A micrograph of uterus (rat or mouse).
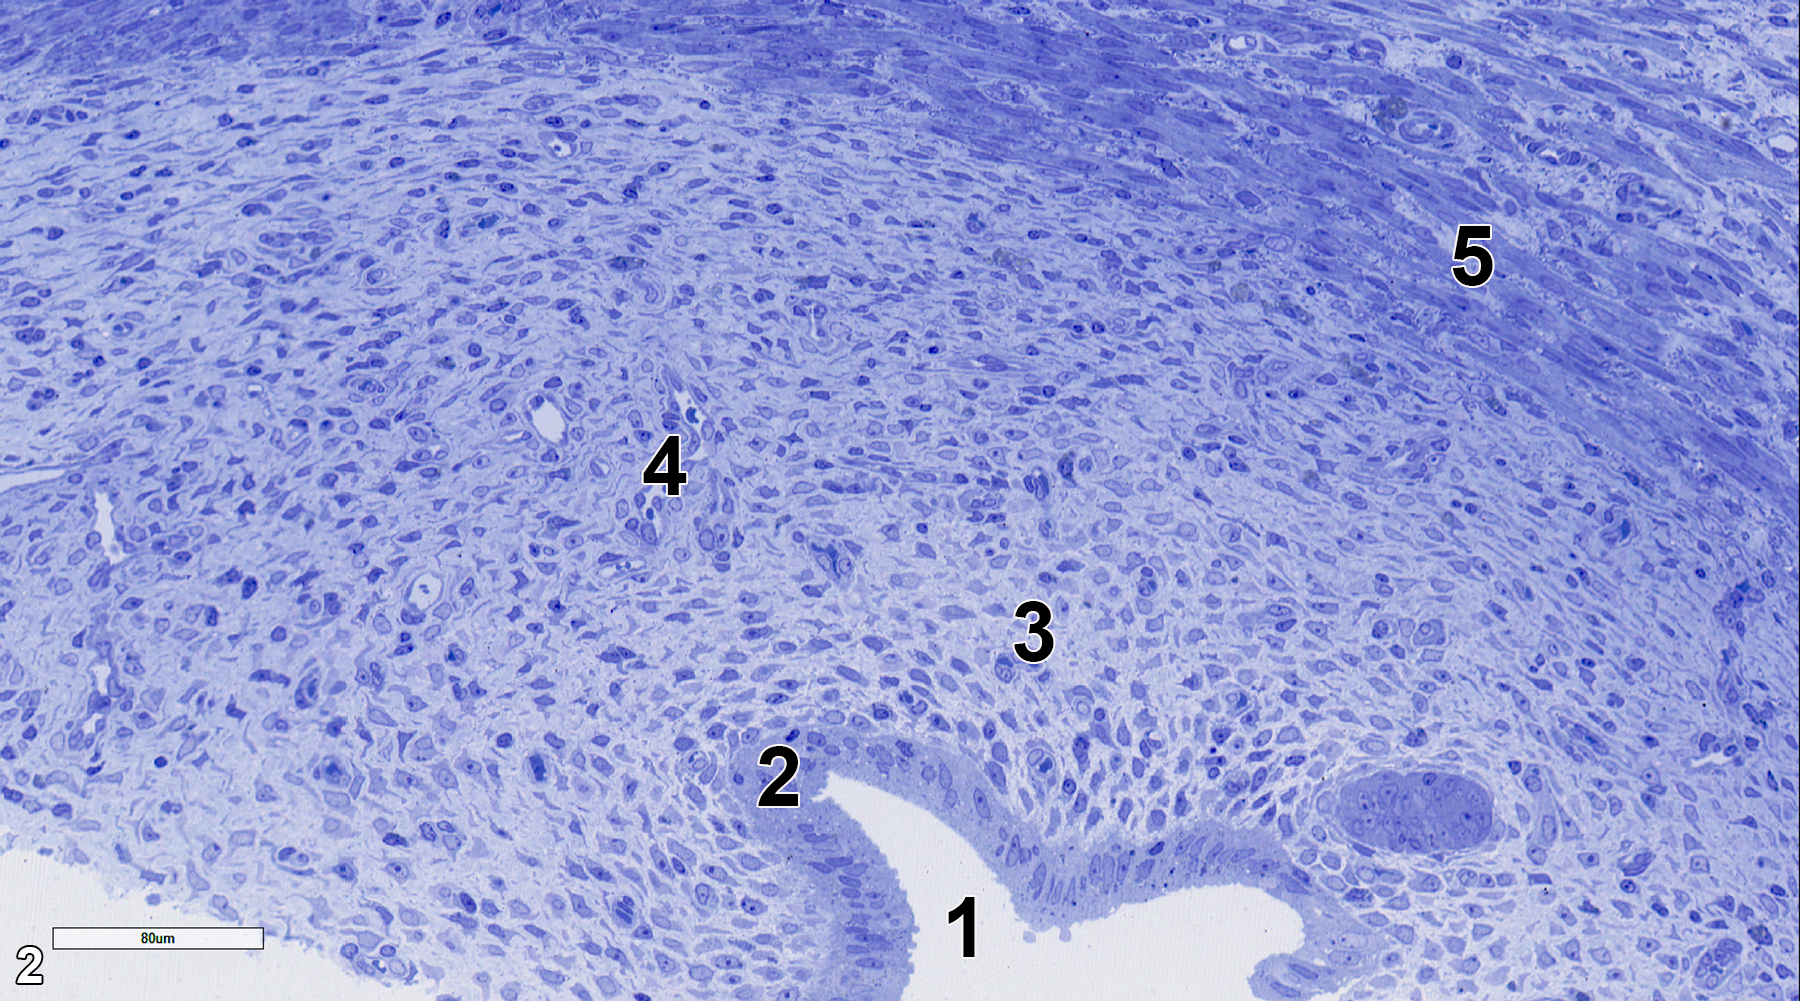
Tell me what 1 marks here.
The number 1 marks the uterine lumen.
